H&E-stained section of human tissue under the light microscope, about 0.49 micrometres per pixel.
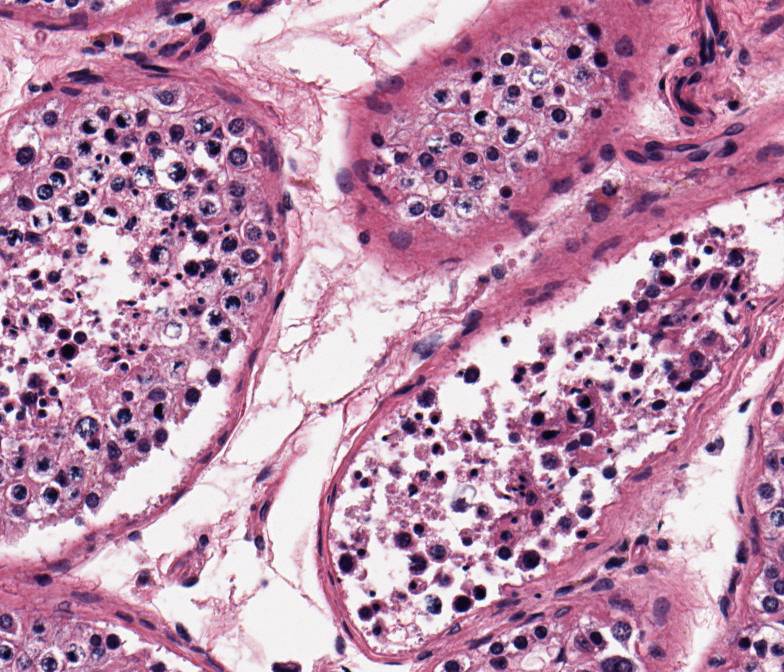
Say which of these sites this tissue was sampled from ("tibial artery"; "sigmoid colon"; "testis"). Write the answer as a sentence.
The site this tissue was sampled from is the testis.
